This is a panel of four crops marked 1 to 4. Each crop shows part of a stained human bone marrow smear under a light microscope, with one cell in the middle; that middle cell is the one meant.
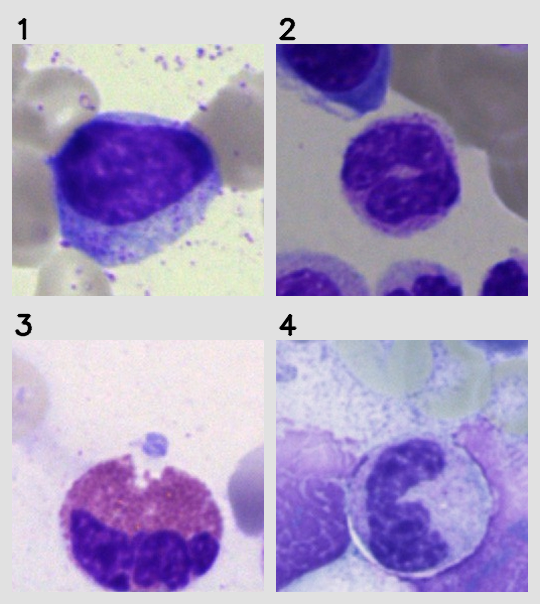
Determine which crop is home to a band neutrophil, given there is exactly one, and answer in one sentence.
Identified crop: 2, the one that shows a band neutrophil.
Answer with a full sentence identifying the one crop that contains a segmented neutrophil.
Crop 4 is the crop that shows a segmented neutrophil in its middle.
